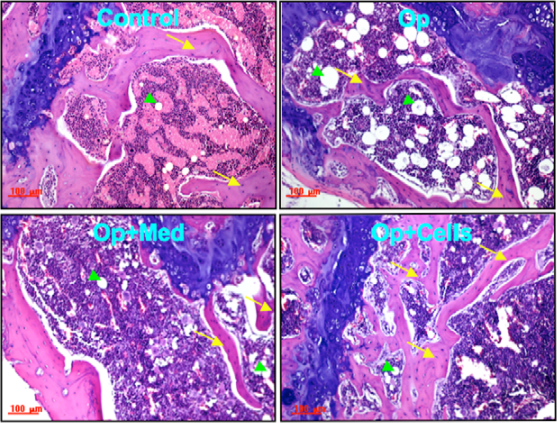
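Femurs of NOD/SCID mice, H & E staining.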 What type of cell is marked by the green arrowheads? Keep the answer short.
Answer: Adipocytes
